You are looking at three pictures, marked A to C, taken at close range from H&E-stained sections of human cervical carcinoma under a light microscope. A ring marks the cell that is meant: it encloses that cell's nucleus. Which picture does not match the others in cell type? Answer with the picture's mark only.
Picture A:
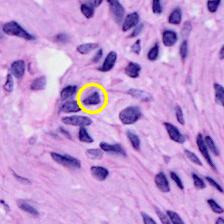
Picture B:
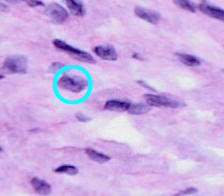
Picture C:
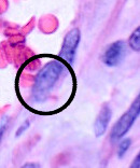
C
